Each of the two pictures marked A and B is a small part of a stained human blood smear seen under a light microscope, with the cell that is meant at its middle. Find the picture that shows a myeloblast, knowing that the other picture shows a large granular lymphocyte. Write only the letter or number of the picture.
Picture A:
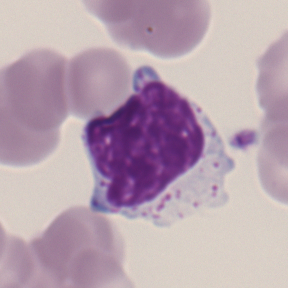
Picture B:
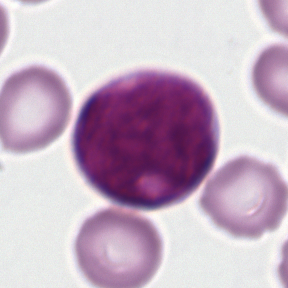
B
